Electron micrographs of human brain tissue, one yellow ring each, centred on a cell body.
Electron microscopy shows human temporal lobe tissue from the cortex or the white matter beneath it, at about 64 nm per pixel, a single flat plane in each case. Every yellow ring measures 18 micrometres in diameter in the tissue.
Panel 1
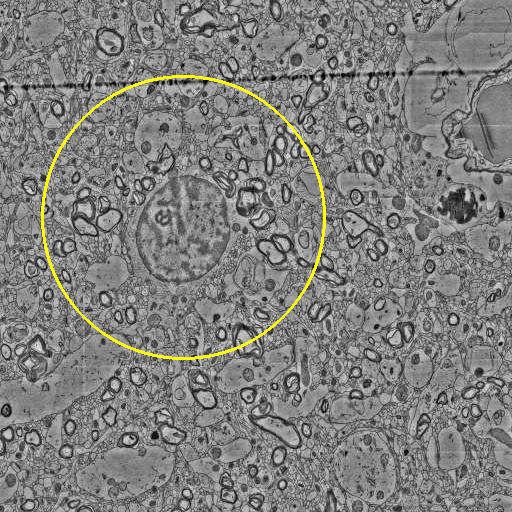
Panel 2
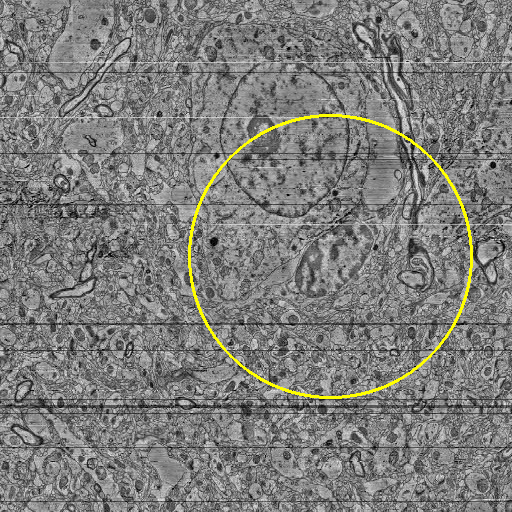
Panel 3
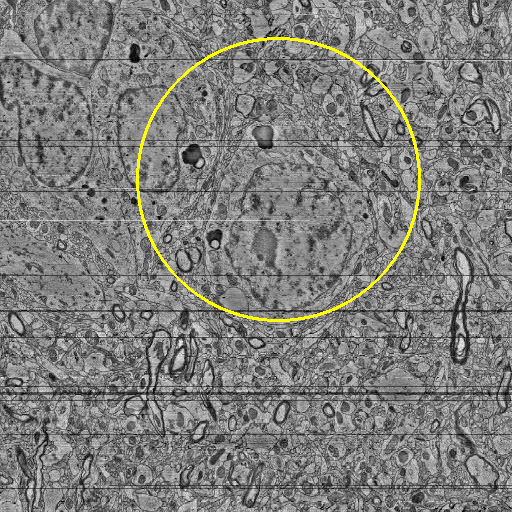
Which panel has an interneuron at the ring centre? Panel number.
3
